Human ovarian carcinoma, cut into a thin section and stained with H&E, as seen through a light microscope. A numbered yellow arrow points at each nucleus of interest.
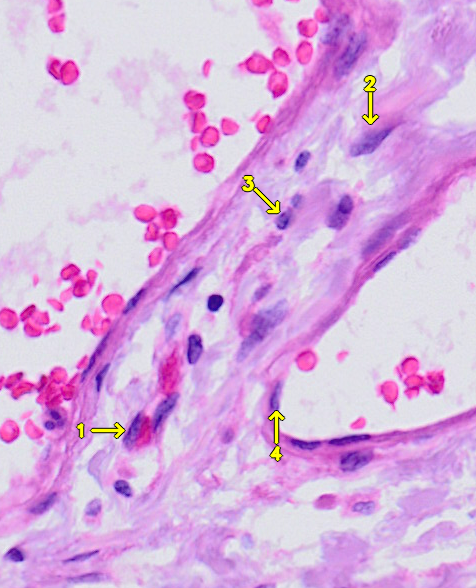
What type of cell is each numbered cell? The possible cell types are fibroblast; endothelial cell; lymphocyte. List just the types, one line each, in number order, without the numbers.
endothelial cell
fibroblast
lymphocyte
endothelial cell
